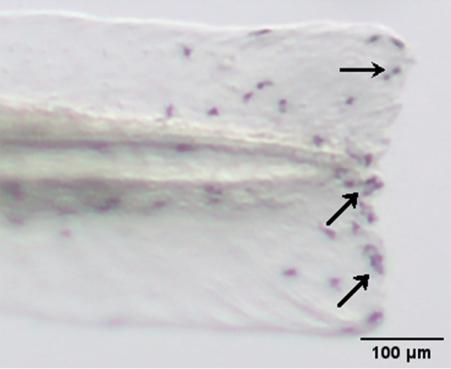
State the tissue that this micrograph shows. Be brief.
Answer: Caudal fin.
